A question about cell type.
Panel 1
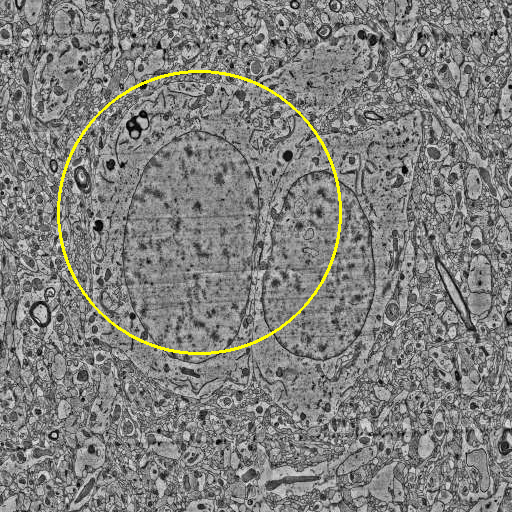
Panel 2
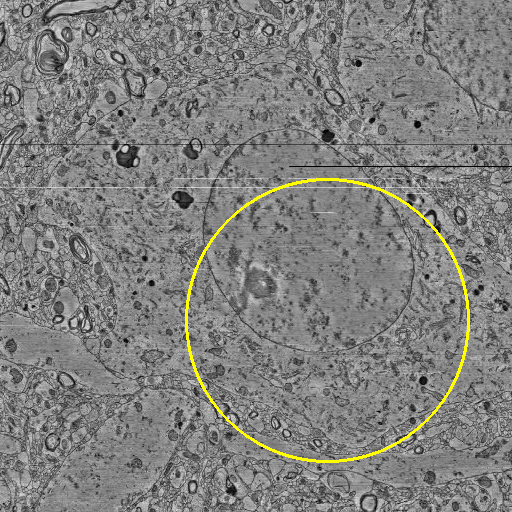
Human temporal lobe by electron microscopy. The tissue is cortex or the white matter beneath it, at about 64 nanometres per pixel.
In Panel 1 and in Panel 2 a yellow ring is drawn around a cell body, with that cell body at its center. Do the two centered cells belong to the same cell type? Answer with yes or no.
yes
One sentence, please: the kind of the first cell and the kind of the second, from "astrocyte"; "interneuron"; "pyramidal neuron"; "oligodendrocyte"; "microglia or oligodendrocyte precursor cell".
Both cells are the same kind, each one being a pyramidal neuron.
